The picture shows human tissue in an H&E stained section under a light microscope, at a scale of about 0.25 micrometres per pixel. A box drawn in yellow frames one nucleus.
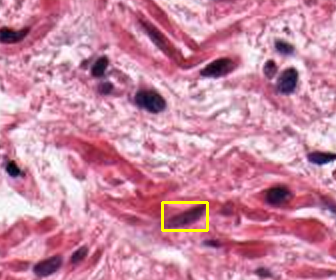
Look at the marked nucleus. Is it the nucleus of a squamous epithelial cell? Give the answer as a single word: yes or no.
no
